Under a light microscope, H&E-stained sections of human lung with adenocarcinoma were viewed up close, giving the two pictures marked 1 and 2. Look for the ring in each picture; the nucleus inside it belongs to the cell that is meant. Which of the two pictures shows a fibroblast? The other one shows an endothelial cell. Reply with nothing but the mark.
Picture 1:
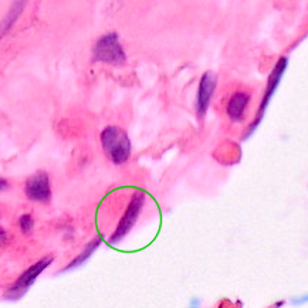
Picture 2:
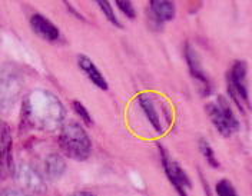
2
